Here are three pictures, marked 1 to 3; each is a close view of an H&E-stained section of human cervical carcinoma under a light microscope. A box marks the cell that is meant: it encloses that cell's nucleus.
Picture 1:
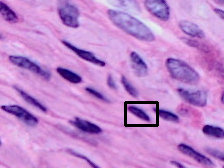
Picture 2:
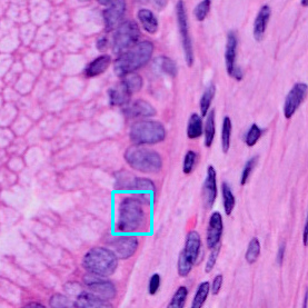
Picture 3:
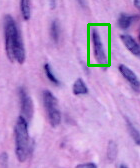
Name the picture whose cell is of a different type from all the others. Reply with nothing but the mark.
2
